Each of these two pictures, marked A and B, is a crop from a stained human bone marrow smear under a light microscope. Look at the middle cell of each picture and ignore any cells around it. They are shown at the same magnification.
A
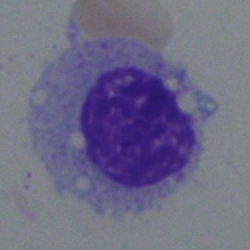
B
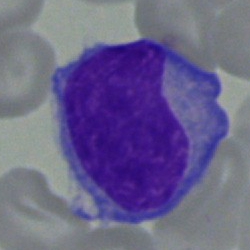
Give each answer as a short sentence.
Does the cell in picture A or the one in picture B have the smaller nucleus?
Picture A shows the smaller nucleus, since that in picture B covers about 1.5 times as much area.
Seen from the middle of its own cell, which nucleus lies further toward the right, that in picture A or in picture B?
It is the nucleus in picture A that lies further toward the right of its cell.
